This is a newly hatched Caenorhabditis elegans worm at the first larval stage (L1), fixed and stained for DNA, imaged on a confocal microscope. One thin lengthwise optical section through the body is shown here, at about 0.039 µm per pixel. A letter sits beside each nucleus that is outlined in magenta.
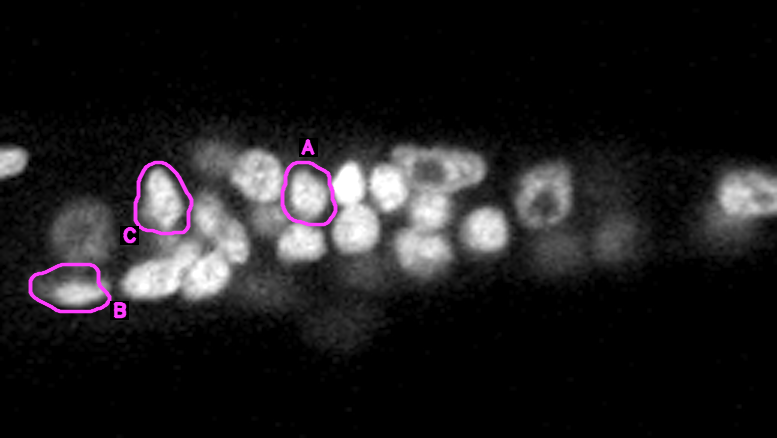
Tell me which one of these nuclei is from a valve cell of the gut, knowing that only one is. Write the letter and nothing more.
C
